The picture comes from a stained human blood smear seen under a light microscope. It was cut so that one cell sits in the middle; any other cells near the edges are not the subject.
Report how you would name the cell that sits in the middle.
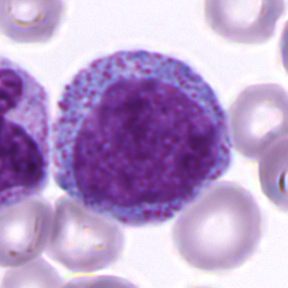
promyelocyte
